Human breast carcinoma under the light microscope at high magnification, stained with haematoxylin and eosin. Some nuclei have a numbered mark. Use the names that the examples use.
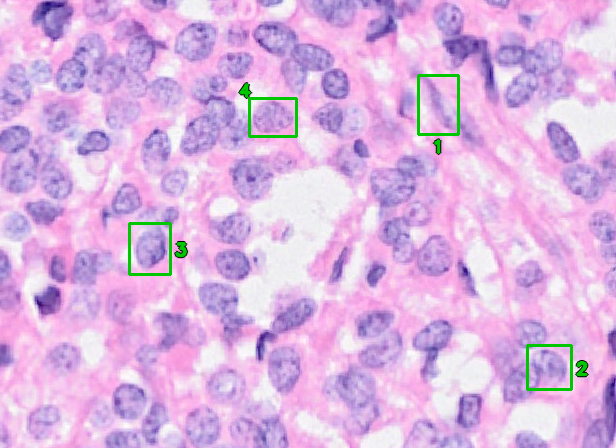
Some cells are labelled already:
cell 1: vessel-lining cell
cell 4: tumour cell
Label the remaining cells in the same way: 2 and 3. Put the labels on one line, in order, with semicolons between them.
tumour cell; tumour cell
